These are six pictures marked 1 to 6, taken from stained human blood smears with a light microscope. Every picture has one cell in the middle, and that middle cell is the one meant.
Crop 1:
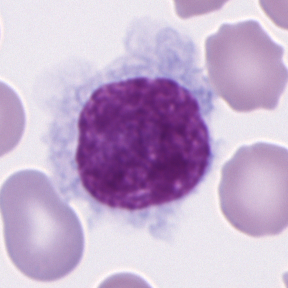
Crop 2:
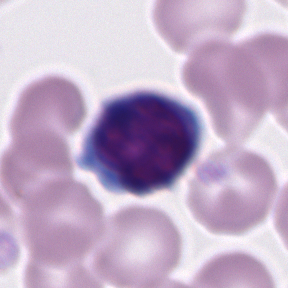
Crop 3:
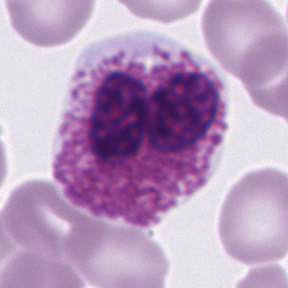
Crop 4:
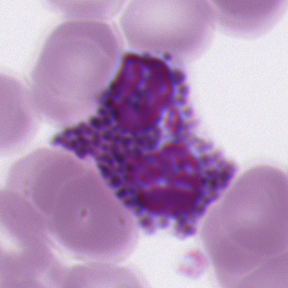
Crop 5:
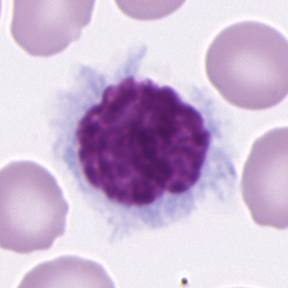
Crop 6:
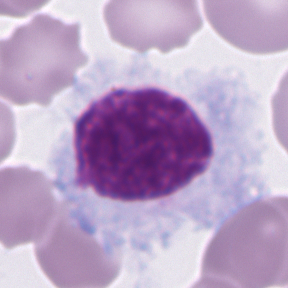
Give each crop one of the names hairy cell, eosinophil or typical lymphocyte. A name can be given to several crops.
1: hairy cell
2: typical lymphocyte
3: eosinophil
4: eosinophil
5: hairy cell
6: hairy cell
